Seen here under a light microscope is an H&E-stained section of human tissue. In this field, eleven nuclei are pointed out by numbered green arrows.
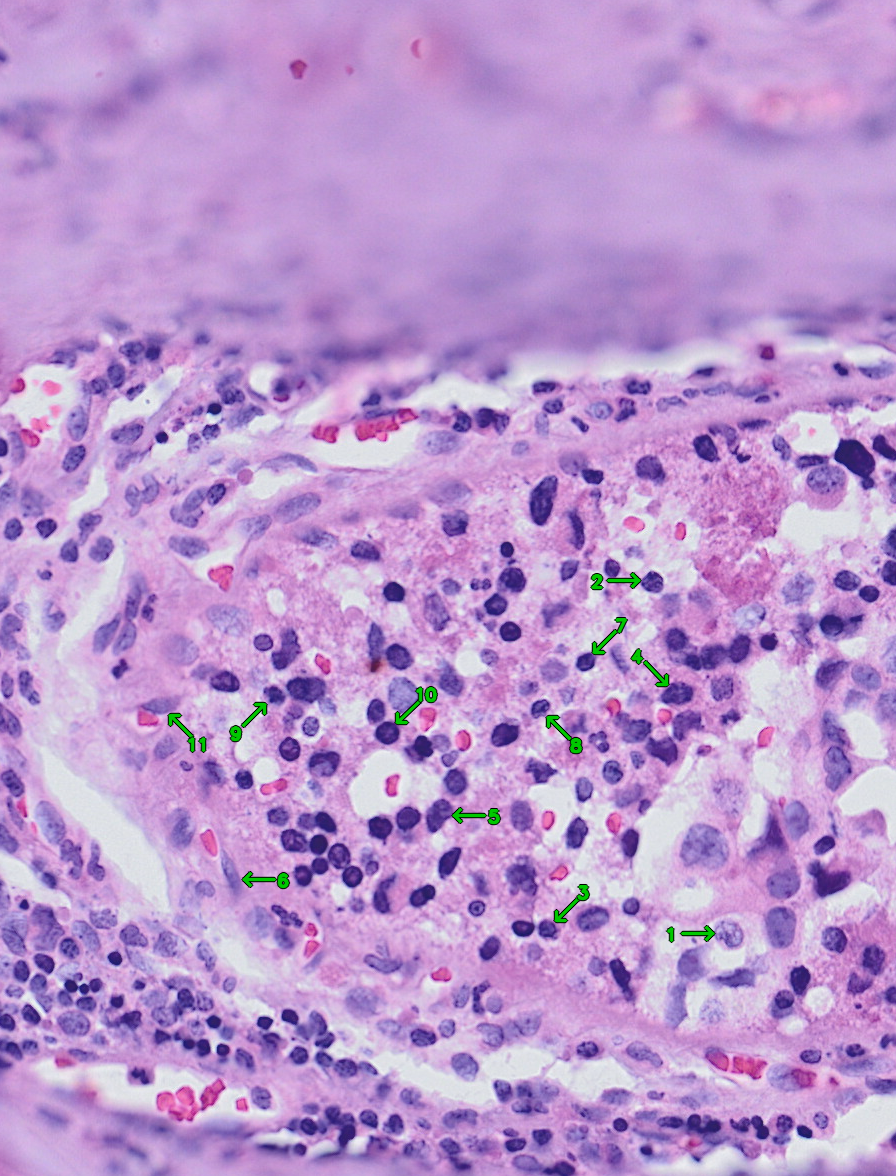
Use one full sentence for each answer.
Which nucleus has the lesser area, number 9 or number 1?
Nucleus 9 covers less area, with nucleus 1 about 2 times as large.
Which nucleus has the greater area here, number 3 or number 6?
Of the two, number 6 is bigger and takes up about 1.5 times the area of number 3.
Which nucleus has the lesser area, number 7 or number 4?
Nucleus 7 is the smaller one; nucleus 4 covers about 1.5 times its area.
